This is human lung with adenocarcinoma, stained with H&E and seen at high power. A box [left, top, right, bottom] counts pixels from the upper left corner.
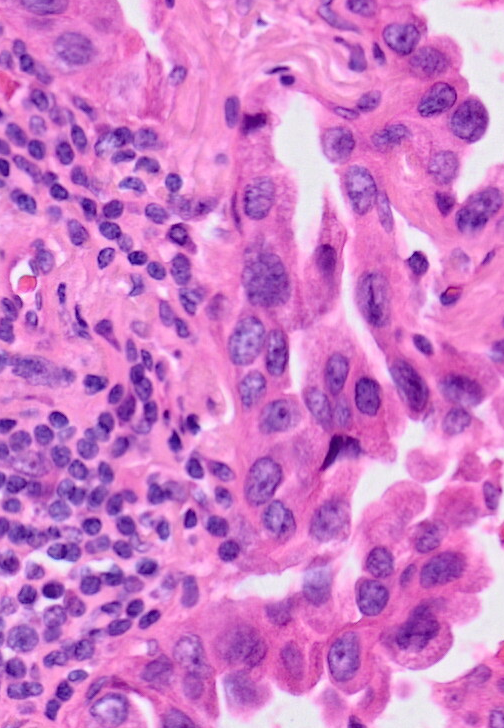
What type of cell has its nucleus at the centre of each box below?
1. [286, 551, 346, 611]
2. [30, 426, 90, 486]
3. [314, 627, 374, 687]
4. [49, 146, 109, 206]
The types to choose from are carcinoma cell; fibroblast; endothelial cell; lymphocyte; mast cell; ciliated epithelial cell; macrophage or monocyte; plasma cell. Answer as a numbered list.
1. carcinoma cell
2. lymphocyte
3. carcinoma cell
4. lymphocyte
